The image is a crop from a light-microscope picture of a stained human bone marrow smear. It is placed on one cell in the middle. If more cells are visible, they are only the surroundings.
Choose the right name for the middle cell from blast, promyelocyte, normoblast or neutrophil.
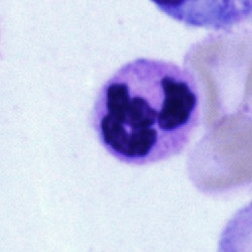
neutrophil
